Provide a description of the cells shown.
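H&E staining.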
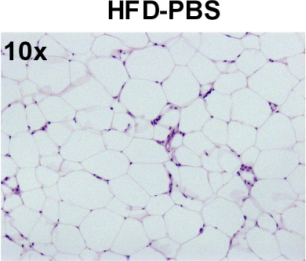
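Large, empty-looking polygonal fat cells of varied size are packed tightly together, each bounded by a thin pink rim with no visible cytoplasm. Small, dark purple nuclei sit flattened at the edges of the cells, with a few small groups in the narrow spaces between them. This is white adipose tissue.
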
